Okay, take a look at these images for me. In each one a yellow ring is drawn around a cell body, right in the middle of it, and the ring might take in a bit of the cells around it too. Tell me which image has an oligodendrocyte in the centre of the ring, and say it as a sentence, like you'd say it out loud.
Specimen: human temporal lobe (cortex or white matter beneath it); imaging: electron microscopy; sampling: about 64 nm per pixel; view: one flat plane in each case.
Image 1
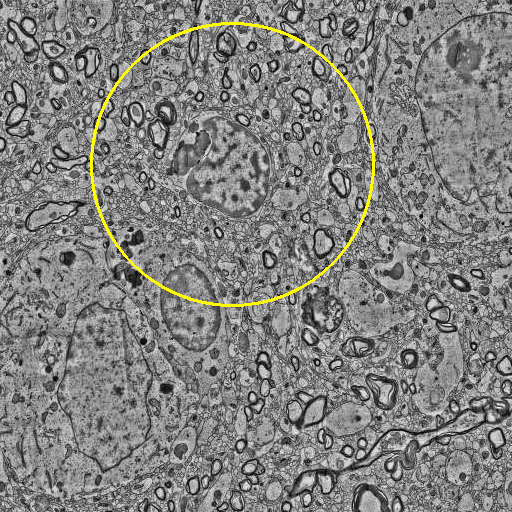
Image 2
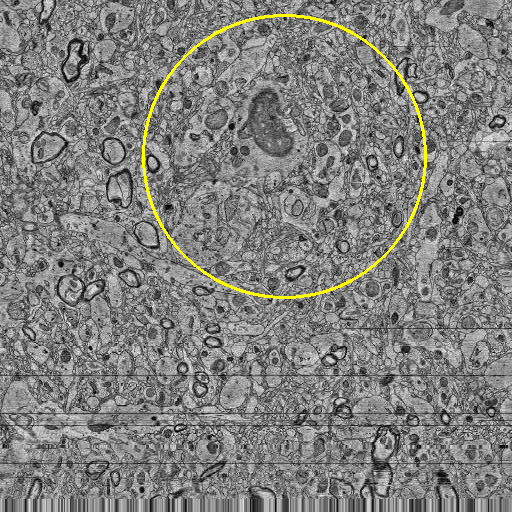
Image 2 is the one with it in the centre of the ring.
